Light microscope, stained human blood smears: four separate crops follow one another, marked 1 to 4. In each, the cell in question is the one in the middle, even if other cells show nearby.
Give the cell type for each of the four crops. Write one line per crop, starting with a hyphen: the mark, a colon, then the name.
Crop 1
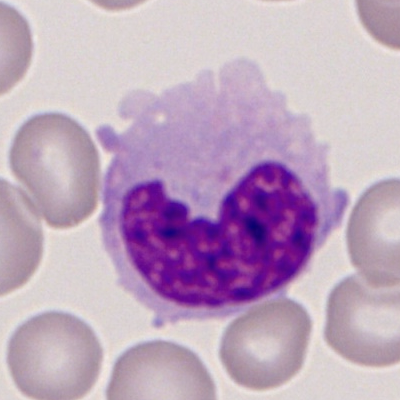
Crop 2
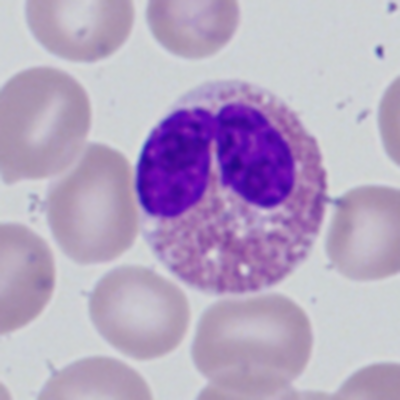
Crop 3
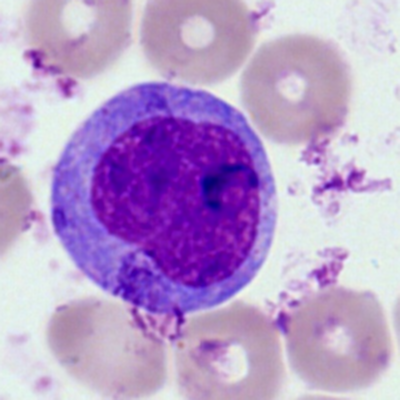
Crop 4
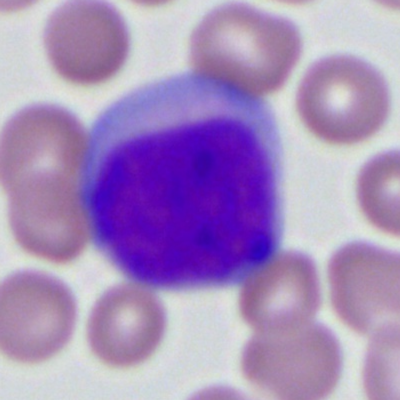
- 1: monocyte
- 2: eosinophil
- 3: myeloblast
- 4: myeloblast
